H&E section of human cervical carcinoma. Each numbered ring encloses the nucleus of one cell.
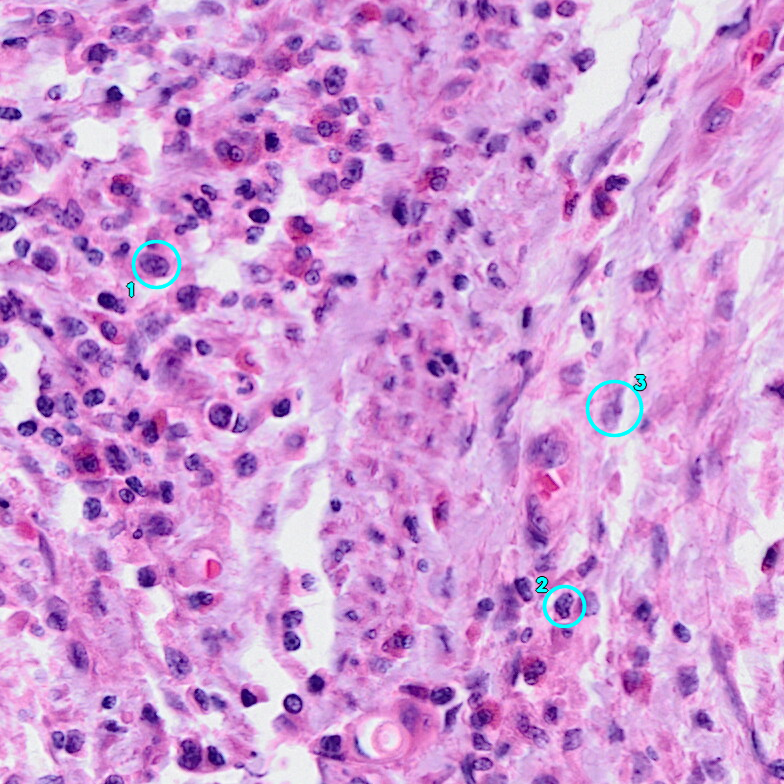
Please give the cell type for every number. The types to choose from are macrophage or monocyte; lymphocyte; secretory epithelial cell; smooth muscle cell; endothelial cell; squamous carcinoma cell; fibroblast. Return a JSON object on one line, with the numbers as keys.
{"1": "macrophage or monocyte", "2": "lymphocyte", "3": "fibroblast"}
